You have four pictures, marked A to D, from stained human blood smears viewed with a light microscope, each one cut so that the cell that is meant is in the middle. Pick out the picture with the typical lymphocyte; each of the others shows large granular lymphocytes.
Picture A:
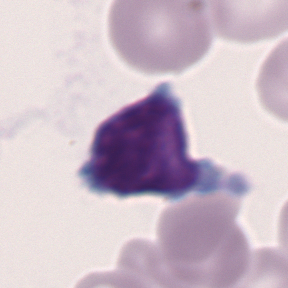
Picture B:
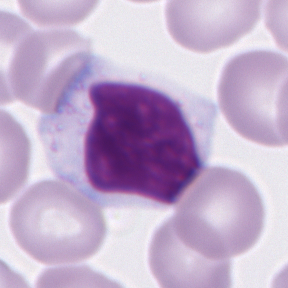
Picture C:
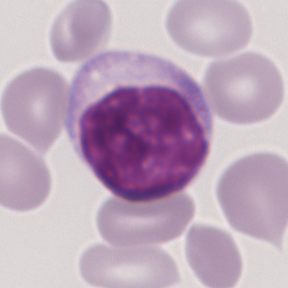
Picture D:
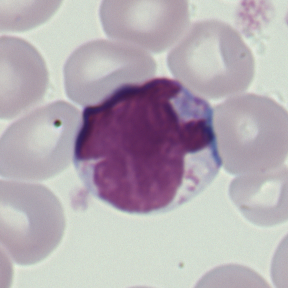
A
